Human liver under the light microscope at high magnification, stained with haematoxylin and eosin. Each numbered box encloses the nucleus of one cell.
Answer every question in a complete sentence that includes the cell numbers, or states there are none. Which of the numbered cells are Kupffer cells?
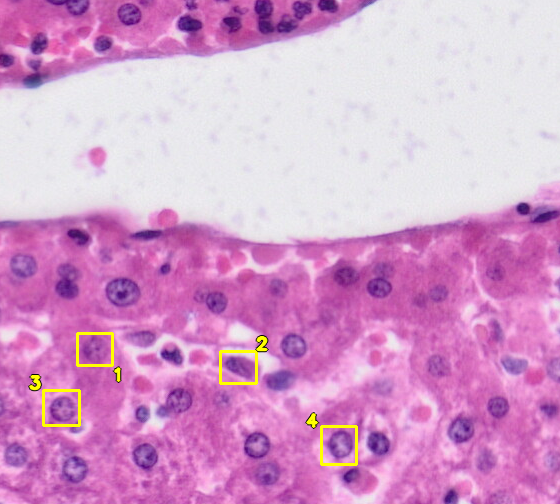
Just one numbered cell is a Kupffer cell, and that cell is number 2.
